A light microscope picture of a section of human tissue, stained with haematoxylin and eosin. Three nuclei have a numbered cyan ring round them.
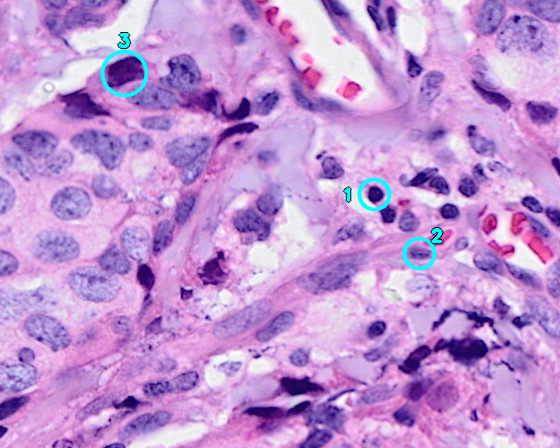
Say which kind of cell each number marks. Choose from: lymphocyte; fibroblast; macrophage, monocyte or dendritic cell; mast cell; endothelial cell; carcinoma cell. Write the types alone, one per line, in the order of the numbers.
lymphocyte
endothelial cell
carcinoma cell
